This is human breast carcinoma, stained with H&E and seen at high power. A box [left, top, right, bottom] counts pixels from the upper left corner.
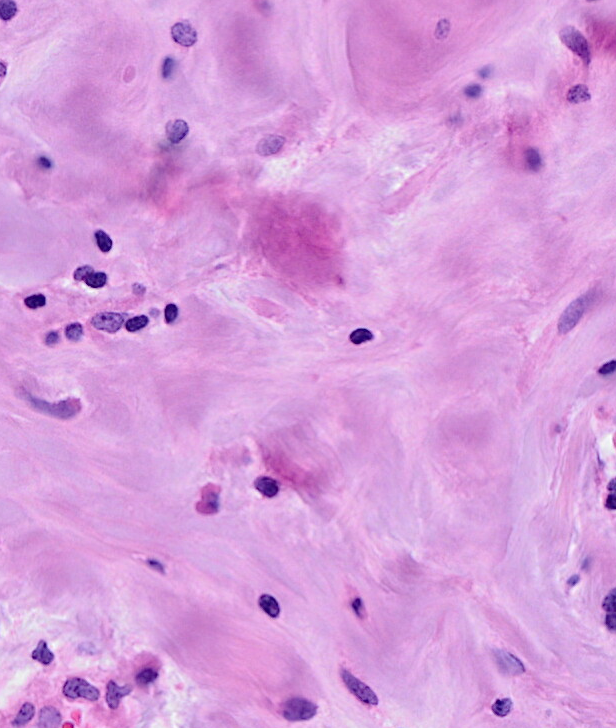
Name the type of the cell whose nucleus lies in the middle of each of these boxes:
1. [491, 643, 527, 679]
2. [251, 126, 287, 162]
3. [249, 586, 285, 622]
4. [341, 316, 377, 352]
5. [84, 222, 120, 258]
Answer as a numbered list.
1. fibroblast
2. fibroblast
3. lymphocyte
4. lymphocyte
5. lymphocyte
